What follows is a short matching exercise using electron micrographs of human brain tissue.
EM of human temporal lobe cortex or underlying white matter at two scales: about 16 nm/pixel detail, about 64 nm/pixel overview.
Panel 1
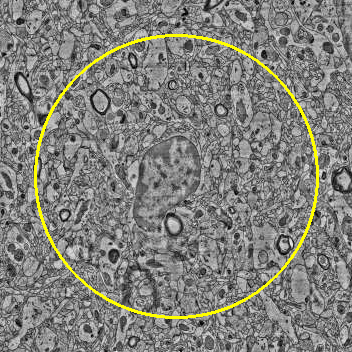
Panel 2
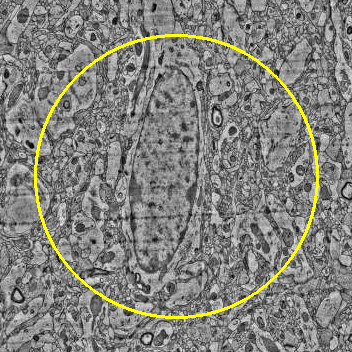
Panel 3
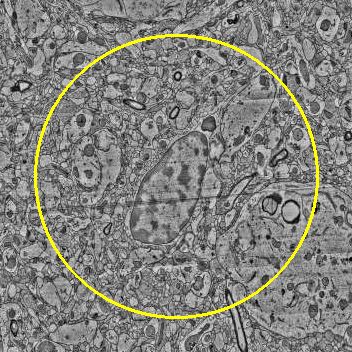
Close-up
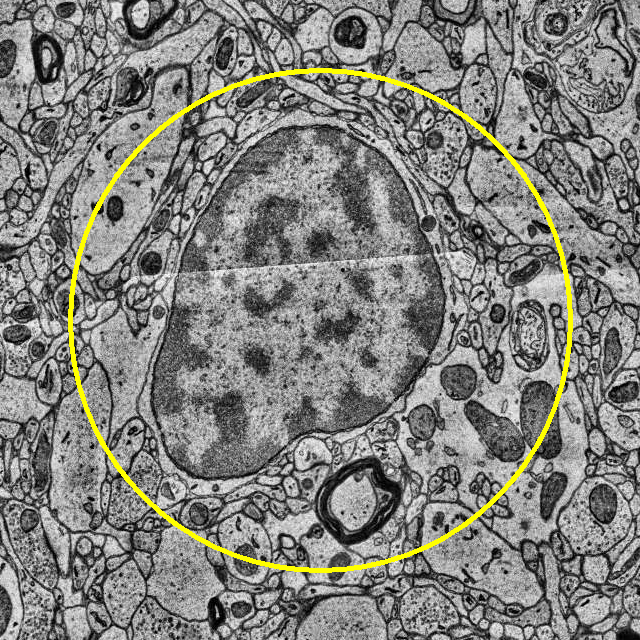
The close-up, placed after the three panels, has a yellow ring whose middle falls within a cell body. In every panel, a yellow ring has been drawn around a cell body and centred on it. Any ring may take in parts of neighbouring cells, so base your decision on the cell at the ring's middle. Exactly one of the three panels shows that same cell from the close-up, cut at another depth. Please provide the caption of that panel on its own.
Panel 1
